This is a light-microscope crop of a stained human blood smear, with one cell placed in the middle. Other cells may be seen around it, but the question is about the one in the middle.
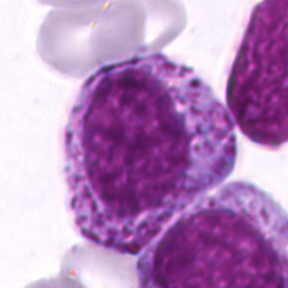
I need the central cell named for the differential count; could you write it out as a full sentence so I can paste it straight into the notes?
Among the cells in view, the one in the middle is a myelocyte.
